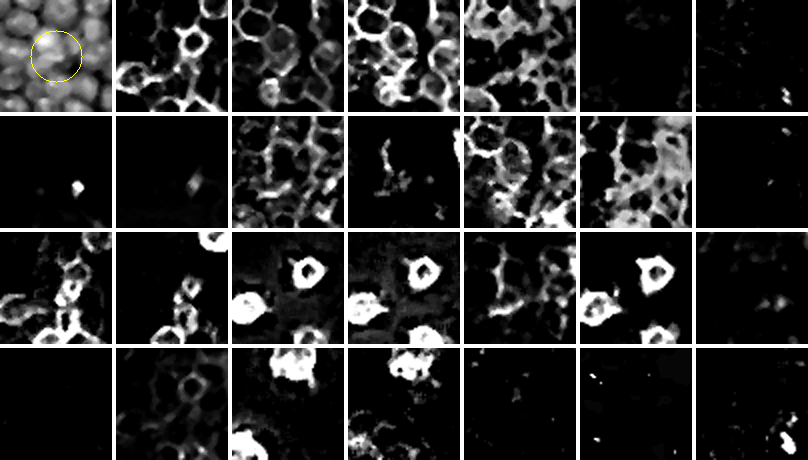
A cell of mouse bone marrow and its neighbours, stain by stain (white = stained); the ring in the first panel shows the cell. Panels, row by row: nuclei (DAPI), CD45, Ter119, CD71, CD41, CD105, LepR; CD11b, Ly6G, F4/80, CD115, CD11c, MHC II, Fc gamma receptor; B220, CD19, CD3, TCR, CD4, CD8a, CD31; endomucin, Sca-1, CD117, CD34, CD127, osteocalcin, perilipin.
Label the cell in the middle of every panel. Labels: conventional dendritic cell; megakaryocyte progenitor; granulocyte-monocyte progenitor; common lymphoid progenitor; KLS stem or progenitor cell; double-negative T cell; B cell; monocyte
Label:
conventional dendritic cell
